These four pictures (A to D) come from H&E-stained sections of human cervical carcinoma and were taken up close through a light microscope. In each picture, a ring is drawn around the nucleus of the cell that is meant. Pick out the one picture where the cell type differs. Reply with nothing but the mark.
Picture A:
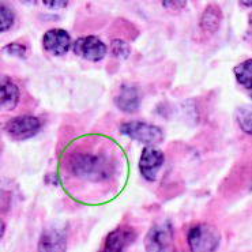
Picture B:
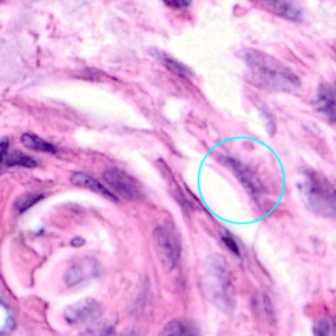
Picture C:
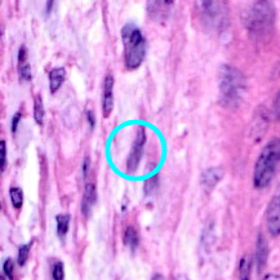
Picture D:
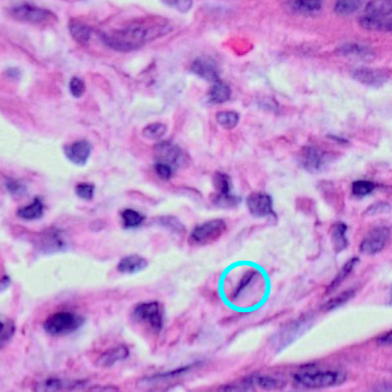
A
